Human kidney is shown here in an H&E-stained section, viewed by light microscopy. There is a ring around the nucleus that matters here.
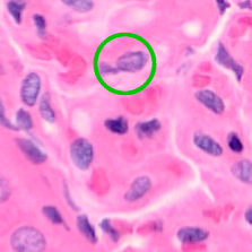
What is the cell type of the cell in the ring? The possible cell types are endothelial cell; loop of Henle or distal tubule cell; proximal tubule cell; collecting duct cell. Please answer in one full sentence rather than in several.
As far as its identity is concerned, the cell in the ring is an endothelial cell.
